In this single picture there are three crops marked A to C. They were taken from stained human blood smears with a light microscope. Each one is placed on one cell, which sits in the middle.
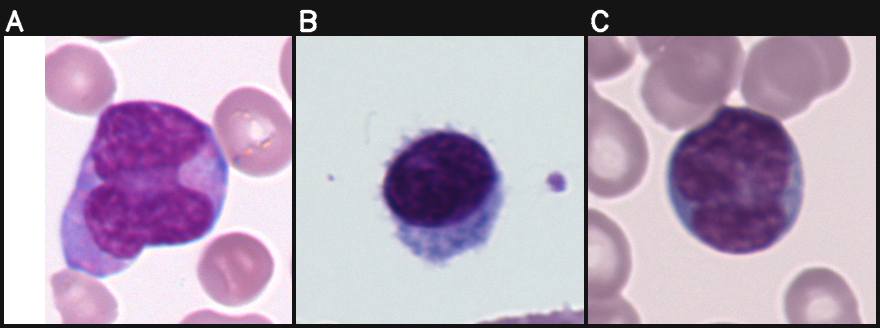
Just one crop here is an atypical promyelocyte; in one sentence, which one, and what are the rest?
Crop A is best given as an atypical promyelocyte, while crop B is a hairy cell and crop C is a myeloblast.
